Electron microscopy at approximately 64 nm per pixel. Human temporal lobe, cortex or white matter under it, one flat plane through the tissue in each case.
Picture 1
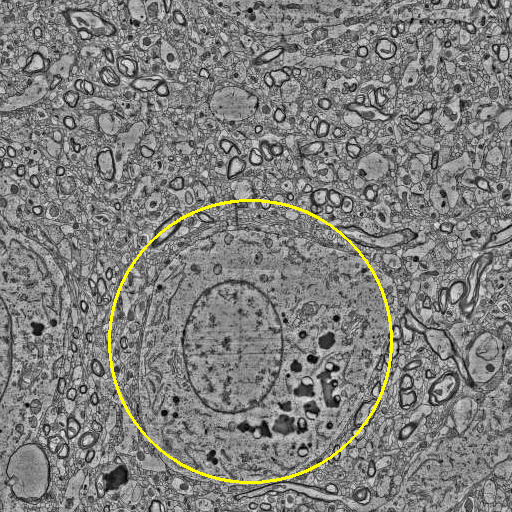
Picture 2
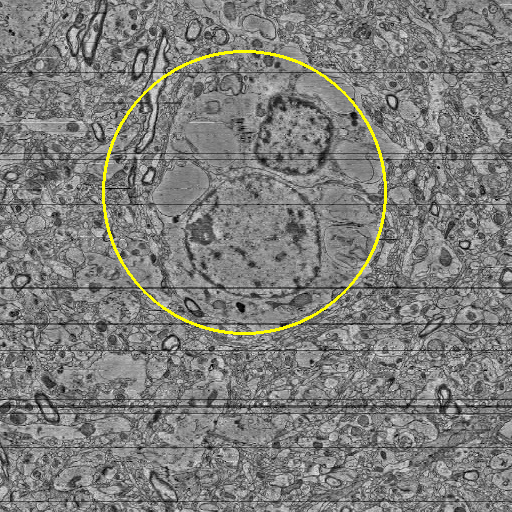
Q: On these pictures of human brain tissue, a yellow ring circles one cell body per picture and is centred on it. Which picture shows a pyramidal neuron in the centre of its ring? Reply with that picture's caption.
Picture 1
